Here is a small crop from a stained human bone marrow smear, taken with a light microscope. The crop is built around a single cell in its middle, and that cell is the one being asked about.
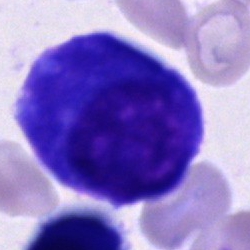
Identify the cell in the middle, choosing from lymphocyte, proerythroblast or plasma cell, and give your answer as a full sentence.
Centrally within this crop lies a plasma cell.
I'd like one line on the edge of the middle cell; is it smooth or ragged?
The edge of the cell is unbroken and smooth, bearing no projections.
